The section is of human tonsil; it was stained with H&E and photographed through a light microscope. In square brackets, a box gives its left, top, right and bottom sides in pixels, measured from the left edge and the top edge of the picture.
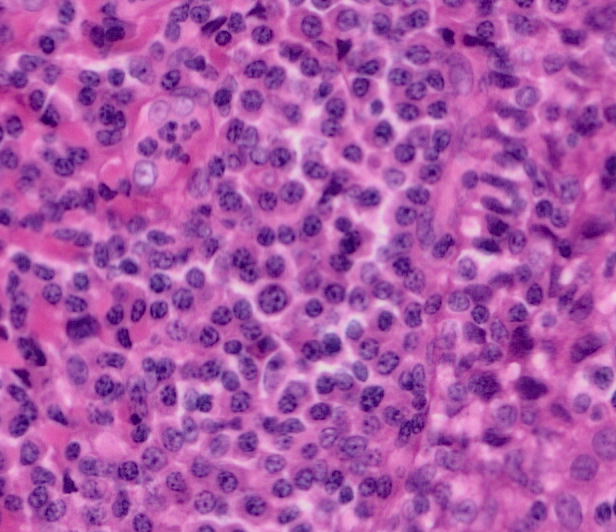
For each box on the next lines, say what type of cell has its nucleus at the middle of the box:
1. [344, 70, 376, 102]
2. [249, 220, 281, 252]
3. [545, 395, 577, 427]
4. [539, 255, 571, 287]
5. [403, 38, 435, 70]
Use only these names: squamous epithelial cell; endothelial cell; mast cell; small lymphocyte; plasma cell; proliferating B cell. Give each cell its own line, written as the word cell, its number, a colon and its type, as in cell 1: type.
cell 1: plasma cell
cell 2: plasma cell
cell 3: squamous epithelial cell
cell 4: squamous epithelial cell
cell 5: plasma cell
